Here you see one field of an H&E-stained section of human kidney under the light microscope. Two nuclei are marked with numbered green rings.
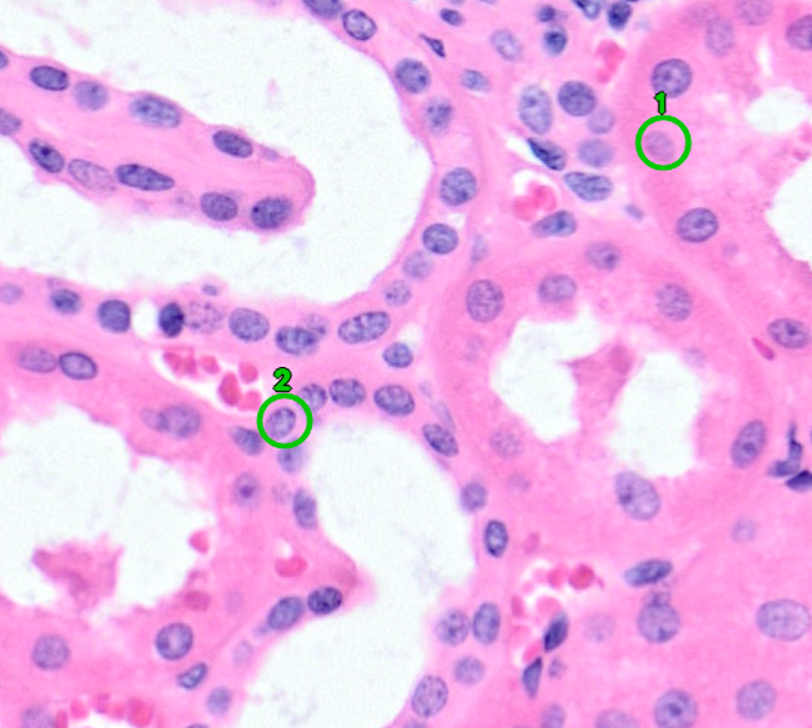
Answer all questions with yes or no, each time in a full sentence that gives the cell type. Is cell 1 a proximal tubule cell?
Yes, of the numbered cells, number 1 is a proximal tubule cell.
